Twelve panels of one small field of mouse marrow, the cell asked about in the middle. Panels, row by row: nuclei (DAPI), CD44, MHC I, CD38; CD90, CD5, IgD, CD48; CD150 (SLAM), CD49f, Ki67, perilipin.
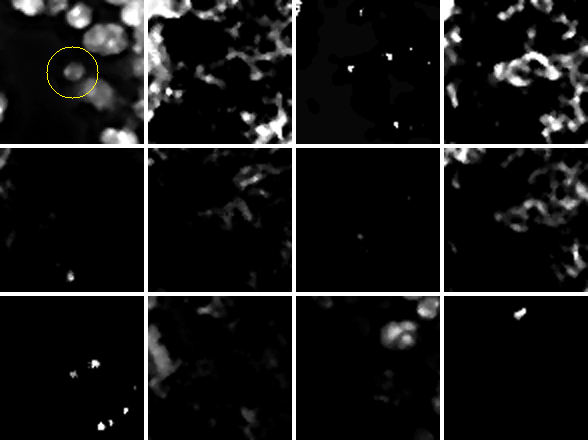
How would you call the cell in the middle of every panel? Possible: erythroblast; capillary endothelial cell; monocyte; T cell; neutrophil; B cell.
I would call it a capillary endothelial cell.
